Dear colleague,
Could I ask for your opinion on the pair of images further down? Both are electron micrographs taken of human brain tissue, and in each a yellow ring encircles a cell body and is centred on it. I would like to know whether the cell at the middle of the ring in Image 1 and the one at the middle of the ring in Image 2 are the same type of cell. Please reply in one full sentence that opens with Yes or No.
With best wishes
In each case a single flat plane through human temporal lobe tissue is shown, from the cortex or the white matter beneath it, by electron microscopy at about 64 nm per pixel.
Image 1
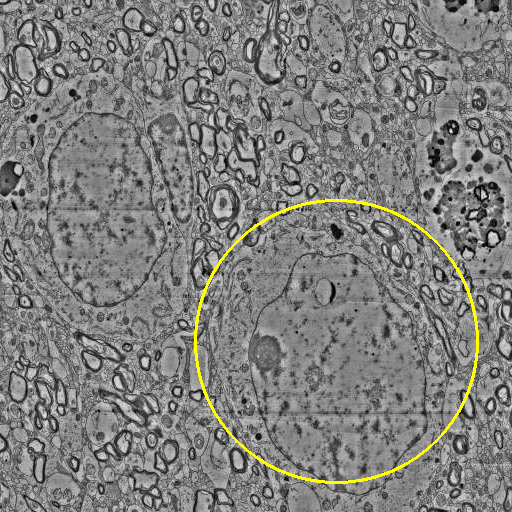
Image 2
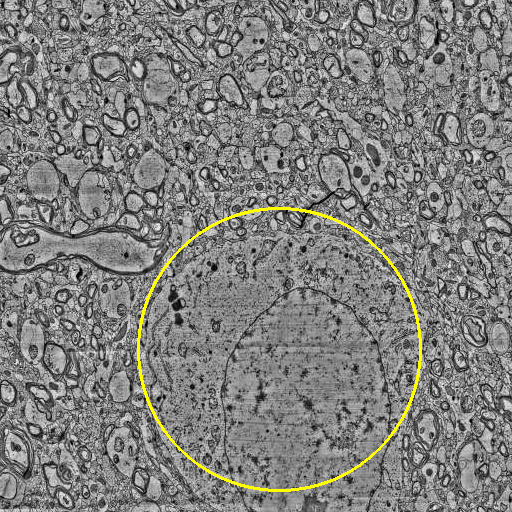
Yes, the cells at the ring centres in Image 1 and Image 2 are of one type.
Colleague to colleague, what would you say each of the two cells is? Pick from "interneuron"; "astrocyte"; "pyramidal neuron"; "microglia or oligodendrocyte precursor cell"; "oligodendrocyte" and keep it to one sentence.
In each of the two pictures, the ringed cell is a pyramidal neuron.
